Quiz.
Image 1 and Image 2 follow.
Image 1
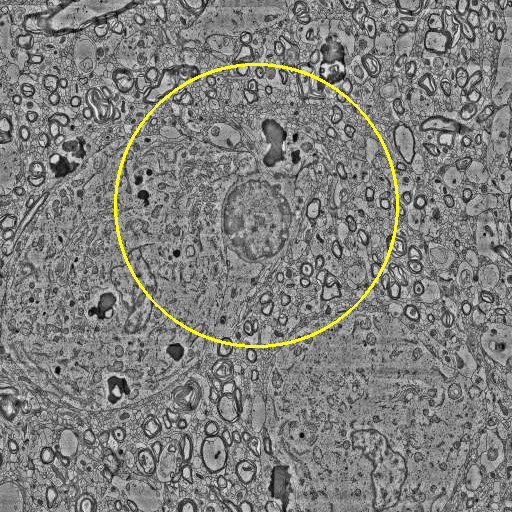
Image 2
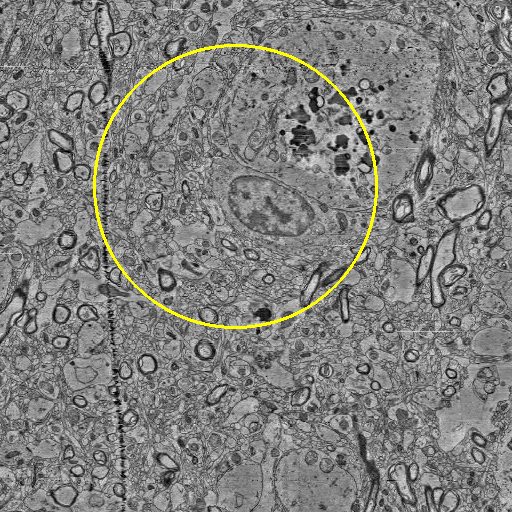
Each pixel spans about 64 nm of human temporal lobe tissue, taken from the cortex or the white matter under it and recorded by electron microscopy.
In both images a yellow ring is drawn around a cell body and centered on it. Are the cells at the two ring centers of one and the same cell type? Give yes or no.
yes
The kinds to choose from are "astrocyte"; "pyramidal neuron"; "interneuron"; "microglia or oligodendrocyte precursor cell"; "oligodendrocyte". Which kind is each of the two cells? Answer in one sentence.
In the first picture and in the second, the ring is centred on an oligodendrocyte.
